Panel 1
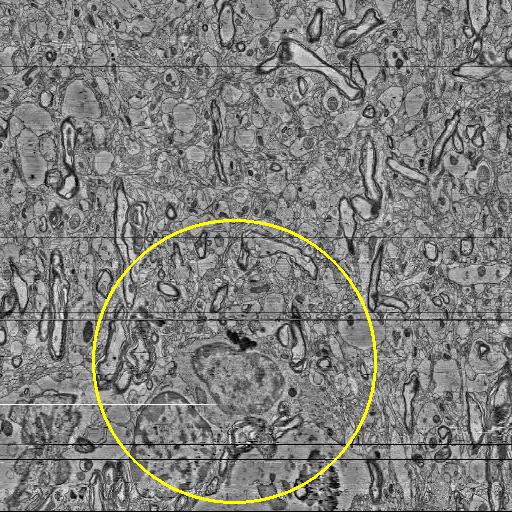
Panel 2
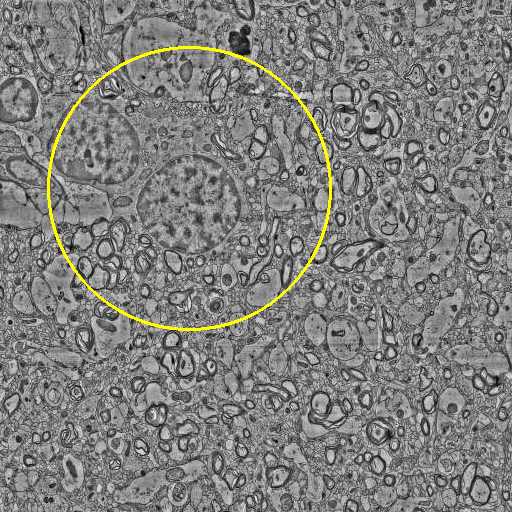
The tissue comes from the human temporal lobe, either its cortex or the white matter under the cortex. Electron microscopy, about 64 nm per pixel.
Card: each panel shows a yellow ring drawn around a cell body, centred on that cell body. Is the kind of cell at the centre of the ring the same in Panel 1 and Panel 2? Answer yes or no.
yes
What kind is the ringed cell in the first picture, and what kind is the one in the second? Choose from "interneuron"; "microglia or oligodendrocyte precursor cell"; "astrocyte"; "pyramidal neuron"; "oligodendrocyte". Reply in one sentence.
Each of the two pictures has an oligodendrocyte at the ring centre.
